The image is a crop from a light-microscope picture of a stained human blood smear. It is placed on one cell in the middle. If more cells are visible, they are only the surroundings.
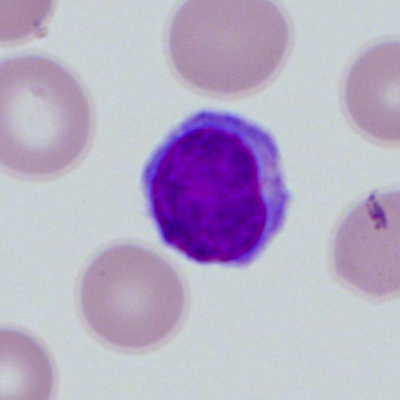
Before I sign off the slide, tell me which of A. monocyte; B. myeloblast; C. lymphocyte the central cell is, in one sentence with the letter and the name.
Option C, which names the central cell as a lymphocyte, is correct.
